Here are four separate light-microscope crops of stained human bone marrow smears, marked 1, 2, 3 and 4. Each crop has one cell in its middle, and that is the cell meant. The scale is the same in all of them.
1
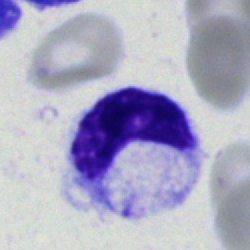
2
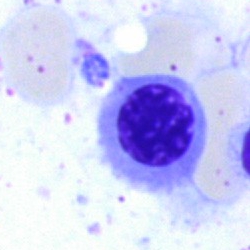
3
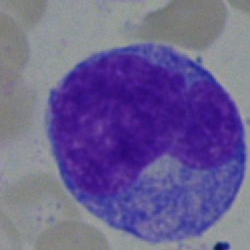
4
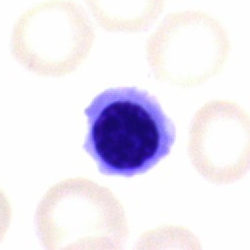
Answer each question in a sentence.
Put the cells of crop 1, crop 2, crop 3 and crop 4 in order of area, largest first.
Largest first: 3, 1, 2, 4.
